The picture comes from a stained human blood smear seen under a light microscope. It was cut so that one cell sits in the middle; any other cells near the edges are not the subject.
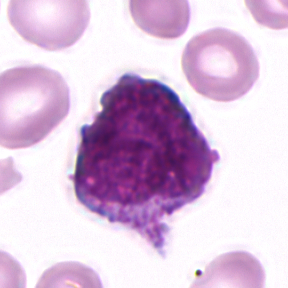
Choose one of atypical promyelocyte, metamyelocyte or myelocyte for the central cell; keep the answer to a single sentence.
The single cell at the center of the crop is an atypical promyelocyte.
